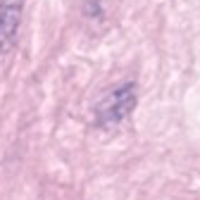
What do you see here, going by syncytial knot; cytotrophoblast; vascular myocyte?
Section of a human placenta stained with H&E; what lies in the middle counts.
I see a vascular myocyte.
